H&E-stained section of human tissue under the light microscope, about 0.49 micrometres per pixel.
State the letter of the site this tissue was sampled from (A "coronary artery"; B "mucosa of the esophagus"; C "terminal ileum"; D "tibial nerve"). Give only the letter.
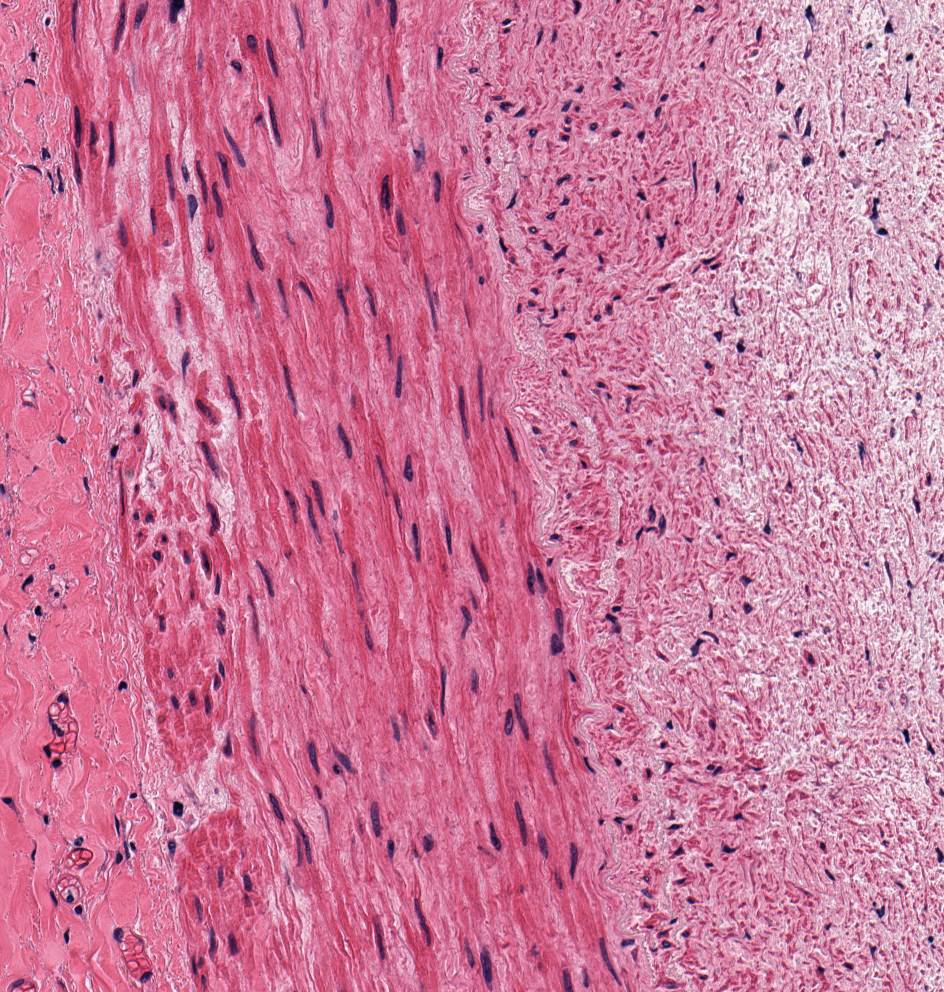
A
